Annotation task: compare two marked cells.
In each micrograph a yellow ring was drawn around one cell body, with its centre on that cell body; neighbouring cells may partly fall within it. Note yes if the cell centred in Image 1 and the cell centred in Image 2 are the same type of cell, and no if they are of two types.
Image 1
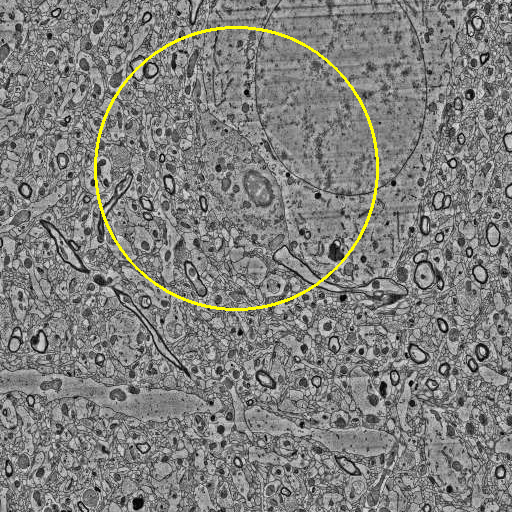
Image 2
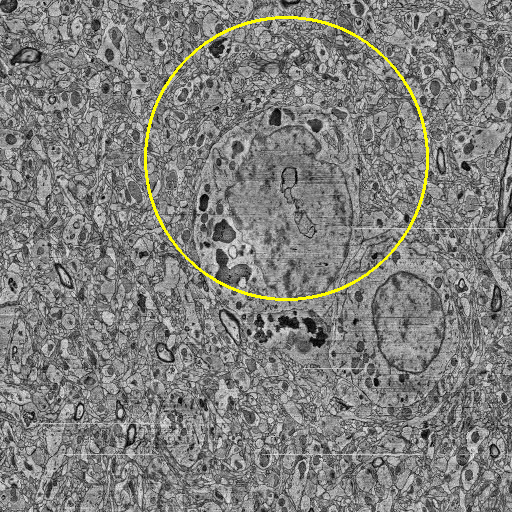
no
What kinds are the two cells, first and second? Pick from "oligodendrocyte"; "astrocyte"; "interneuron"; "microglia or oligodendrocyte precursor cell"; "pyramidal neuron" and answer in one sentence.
The second picture holds an interneuron in its ring, and the first holds an oligodendrocyte.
